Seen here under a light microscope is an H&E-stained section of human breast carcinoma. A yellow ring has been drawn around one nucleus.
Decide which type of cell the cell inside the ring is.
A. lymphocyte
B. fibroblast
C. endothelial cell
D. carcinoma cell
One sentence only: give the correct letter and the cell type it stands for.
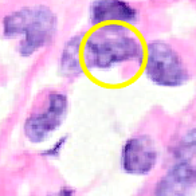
Option D names it right: the cell inside the ring is a carcinoma cell.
